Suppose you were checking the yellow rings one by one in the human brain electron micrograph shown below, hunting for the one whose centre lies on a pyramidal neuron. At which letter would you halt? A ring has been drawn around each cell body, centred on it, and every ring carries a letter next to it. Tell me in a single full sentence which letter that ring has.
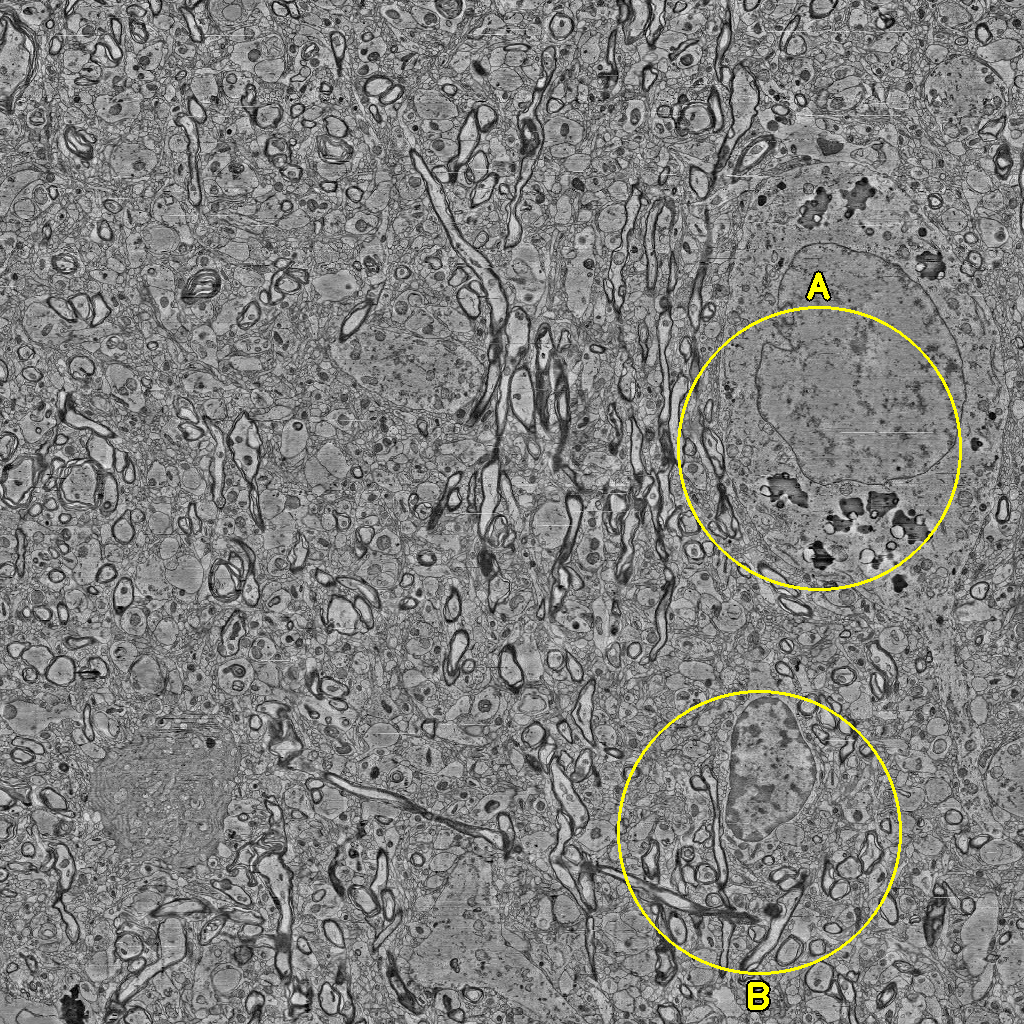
Going through the rings, I would stop at ring A, the one centred on the cell asked for.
